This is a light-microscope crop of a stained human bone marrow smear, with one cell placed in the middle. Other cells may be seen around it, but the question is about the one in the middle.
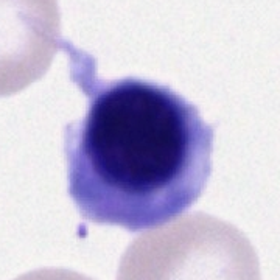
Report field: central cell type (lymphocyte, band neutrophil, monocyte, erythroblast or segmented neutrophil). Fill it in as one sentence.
The cell shown in the center of this light-microscope crop is an erythroblast.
